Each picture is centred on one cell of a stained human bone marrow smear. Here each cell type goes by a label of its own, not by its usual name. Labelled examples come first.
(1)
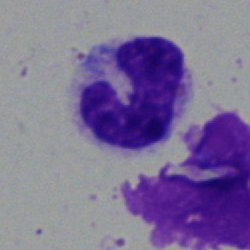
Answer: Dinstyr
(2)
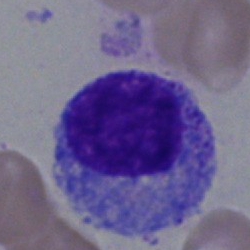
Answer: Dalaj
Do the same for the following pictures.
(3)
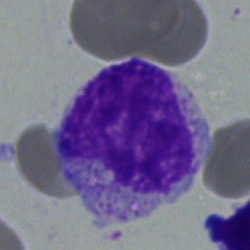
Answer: Dalaj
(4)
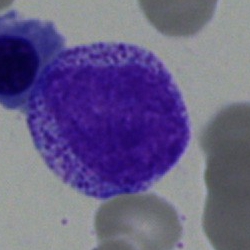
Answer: Dalaj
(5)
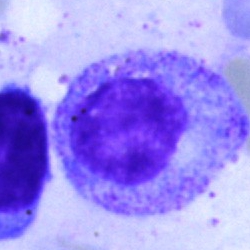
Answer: Dalaj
